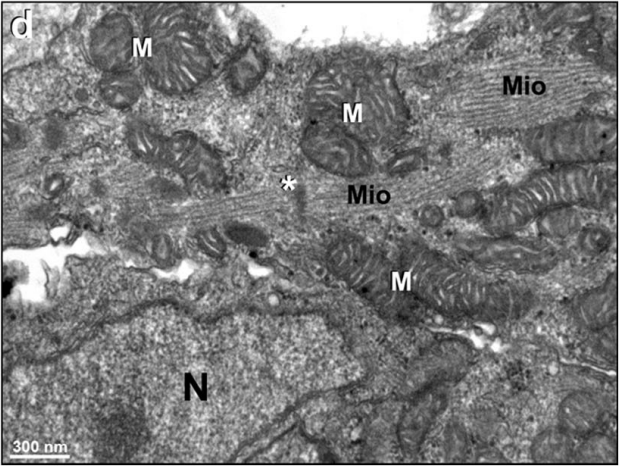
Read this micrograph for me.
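Bundles of fine filaments, the myofibrils, run across the middle of the field in long section, and at one point a narrow dark band crosses a bundle, a Z line. Packed around and between the myofibrils lie many mitochondria, oval or elongated, with dense, closely stacked cristae. In the lower part a large nucleus sits with finely granular, evenly spread chromatin, bounded by its envelope. Small pale clefts mark the membranes between neighbouring cells, and an empty space lies at the top edge.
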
